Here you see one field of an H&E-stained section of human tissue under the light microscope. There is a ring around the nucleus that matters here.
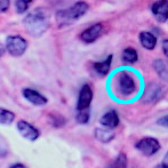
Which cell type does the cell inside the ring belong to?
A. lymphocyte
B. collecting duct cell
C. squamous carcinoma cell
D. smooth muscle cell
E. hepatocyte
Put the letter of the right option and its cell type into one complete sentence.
Answer with option A; the cell inside the ring is a lymphocyte.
